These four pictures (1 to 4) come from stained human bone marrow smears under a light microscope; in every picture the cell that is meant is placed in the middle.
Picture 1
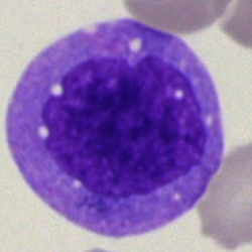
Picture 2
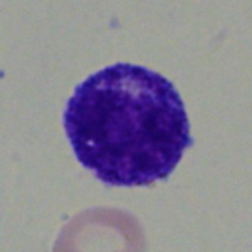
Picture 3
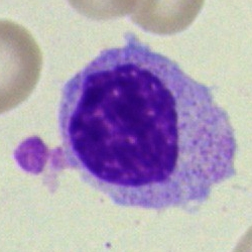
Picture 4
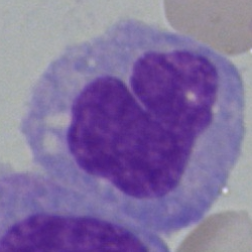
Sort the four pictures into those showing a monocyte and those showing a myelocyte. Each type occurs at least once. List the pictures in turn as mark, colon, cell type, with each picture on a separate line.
1: monocyte
2: myelocyte
3: myelocyte
4: monocyte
